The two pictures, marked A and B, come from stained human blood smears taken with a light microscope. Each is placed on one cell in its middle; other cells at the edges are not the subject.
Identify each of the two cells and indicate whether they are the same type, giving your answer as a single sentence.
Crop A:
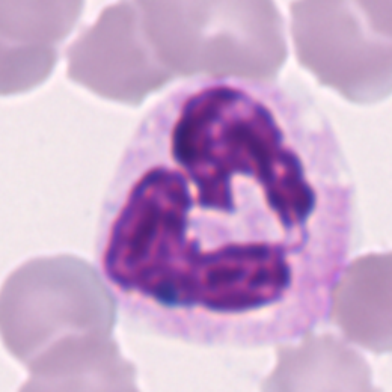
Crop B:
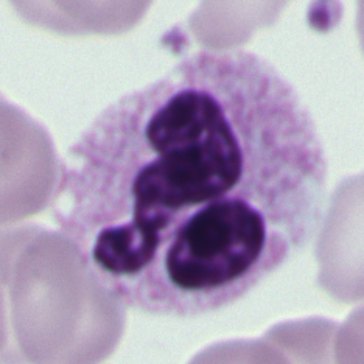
Yes, both of the crops show segmented neutrophils.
